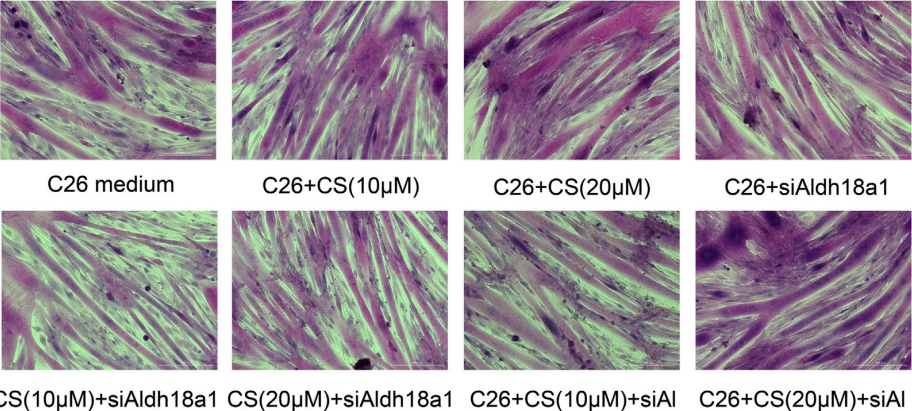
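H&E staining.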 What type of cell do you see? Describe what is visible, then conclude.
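Long, slender spindle-shaped cells lie side by side in parallel bundles. The cells are filled with pink-purple stained cytoplasm. Dark purple nuclei are scattered along the length of the elongated cells.
Hence: myotubes.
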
